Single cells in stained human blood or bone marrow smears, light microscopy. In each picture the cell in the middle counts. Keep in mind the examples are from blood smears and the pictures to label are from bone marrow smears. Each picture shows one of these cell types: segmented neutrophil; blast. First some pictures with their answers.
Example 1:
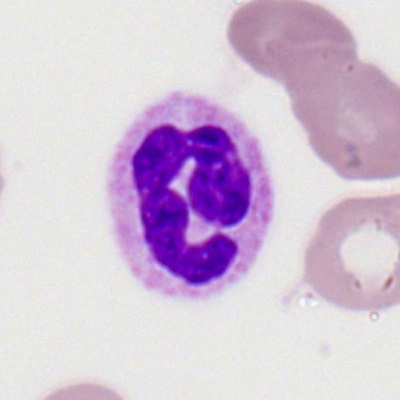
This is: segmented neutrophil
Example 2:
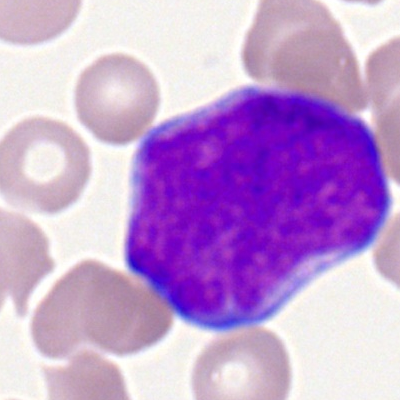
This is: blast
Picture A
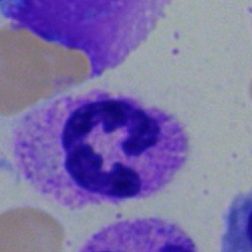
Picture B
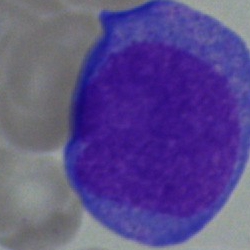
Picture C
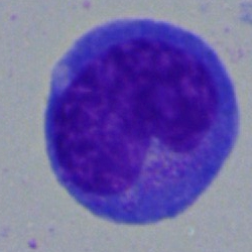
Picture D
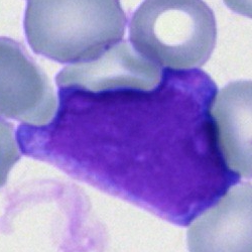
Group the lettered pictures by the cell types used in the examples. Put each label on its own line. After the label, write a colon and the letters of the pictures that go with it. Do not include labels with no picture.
segmented neutrophil: A
blast: B, C, D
